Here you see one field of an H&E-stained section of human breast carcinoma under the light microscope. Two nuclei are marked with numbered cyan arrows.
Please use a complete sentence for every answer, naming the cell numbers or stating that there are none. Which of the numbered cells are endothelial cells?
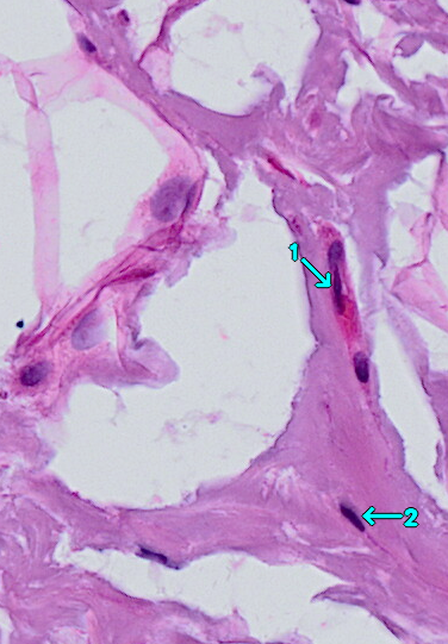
The cell bearing the number 1 is an endothelial cell, unlike the rest of the numbered cells.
